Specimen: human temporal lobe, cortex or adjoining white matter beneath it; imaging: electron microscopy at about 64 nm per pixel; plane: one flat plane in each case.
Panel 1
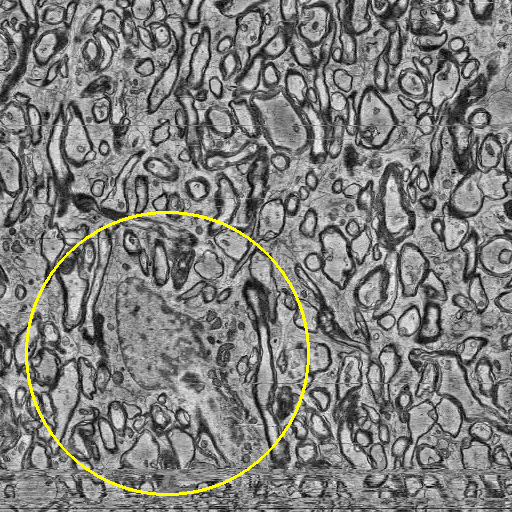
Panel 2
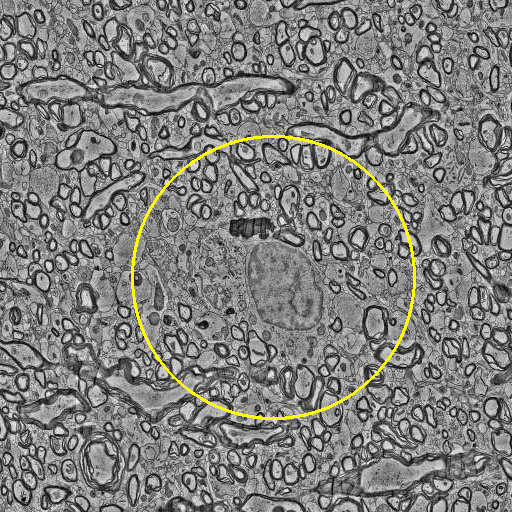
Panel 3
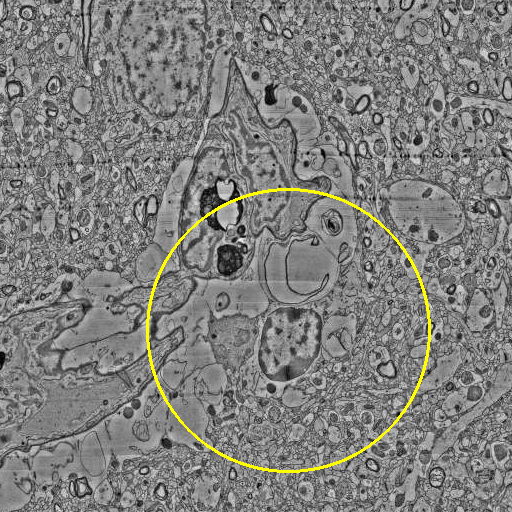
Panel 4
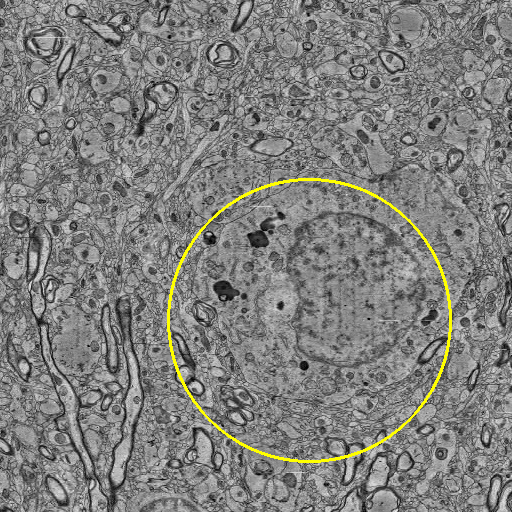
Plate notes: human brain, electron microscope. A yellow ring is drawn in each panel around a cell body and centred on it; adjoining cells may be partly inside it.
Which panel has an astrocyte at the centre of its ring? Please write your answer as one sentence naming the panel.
The ring in Panel 1 is centred on such a cell.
